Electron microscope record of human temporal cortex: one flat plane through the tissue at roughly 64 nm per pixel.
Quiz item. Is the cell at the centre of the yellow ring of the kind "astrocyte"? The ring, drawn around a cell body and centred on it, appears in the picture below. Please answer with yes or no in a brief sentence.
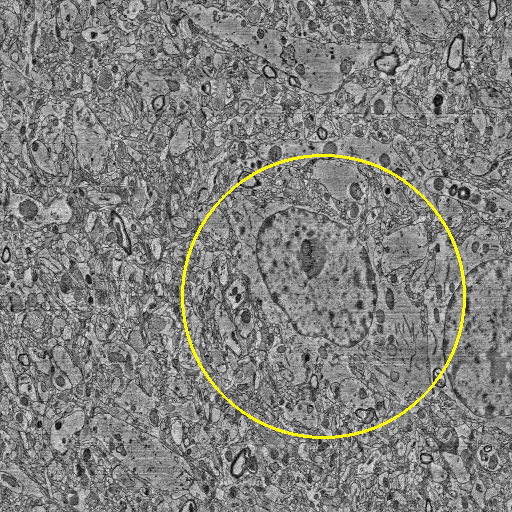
Yes, it is that kind of cell.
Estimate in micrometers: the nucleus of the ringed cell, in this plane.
About 10 by 7 micrometers for the nucleus, in this plane.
